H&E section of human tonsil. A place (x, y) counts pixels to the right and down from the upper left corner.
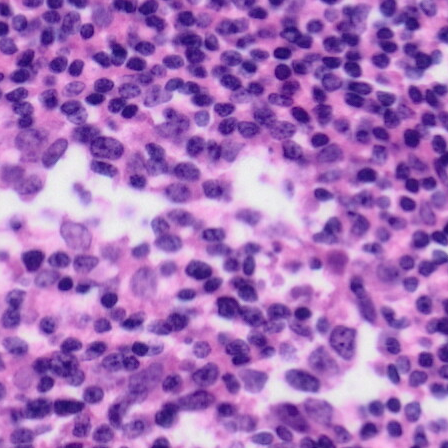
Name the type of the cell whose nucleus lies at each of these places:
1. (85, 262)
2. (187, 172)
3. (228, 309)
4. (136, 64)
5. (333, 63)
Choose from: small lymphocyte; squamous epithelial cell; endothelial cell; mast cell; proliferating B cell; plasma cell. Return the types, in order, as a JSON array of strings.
["proliferating B cell", "proliferating B cell", "proliferating B cell", "small lymphocyte", "small lymphocyte"]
